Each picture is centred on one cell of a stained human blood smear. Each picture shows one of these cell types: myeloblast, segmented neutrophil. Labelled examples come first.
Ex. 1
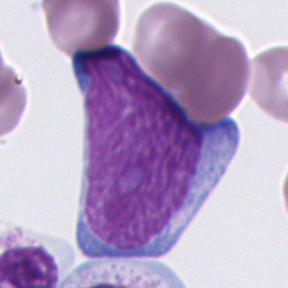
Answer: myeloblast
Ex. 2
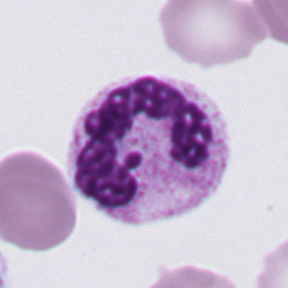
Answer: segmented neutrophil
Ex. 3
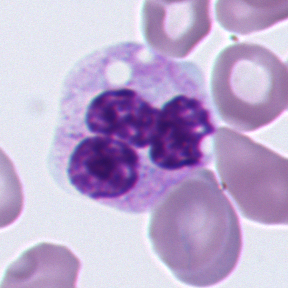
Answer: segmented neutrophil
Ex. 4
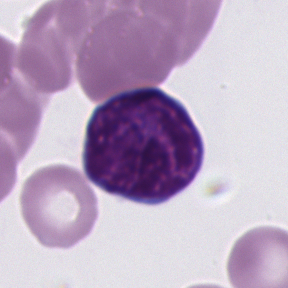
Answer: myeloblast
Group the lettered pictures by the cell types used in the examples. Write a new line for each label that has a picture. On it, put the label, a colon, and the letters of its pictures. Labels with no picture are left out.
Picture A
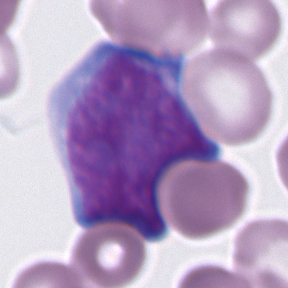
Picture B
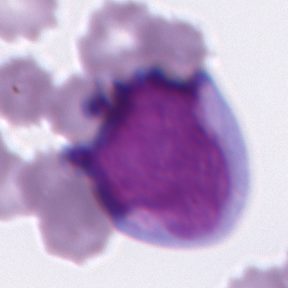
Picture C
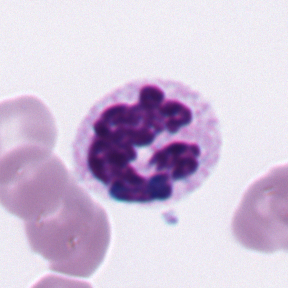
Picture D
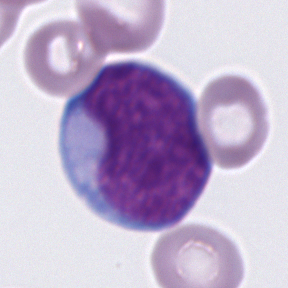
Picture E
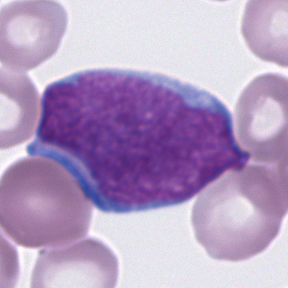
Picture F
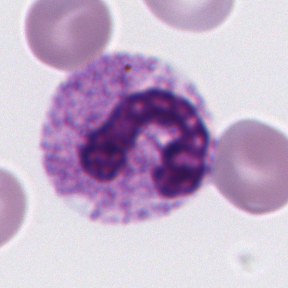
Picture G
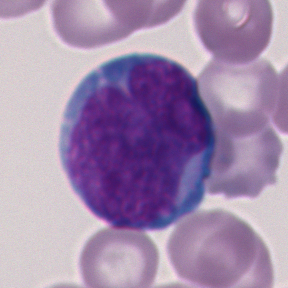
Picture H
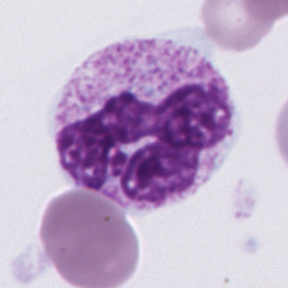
myeloblast: A, B, D, E, G
segmented neutrophil: C, F, H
